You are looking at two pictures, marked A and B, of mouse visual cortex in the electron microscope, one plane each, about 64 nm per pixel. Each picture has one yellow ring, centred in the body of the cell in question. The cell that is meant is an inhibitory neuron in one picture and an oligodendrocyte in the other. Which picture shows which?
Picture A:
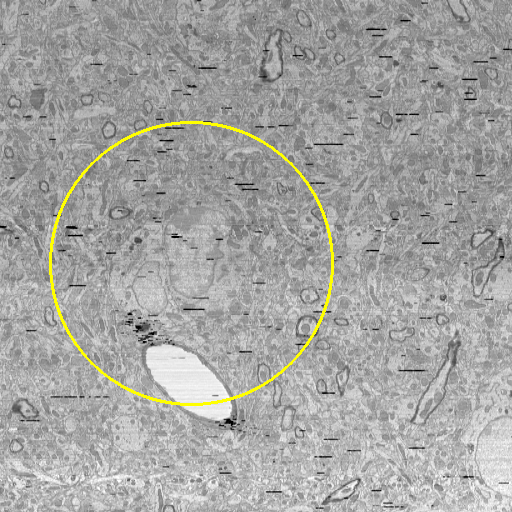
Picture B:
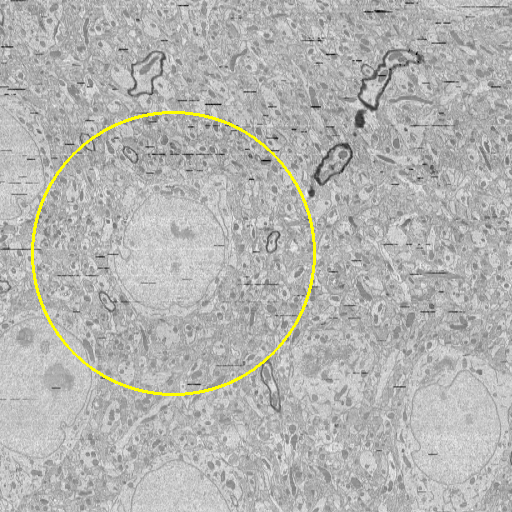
The cell in picture A is an oligodendrocyte, and the one in picture B is an inhibitory neuron.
